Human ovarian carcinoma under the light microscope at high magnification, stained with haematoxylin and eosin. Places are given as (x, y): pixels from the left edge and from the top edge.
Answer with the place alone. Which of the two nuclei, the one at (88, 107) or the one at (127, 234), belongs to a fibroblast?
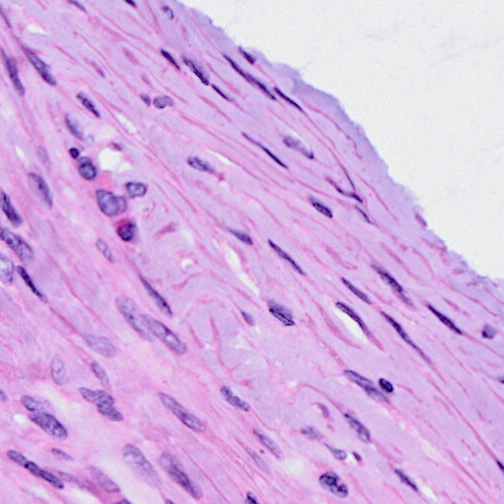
(88, 107)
